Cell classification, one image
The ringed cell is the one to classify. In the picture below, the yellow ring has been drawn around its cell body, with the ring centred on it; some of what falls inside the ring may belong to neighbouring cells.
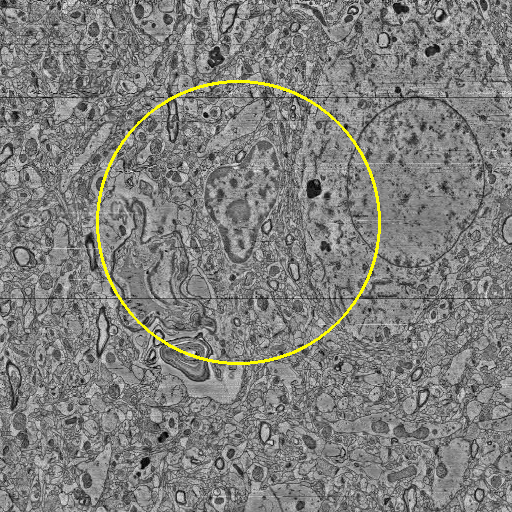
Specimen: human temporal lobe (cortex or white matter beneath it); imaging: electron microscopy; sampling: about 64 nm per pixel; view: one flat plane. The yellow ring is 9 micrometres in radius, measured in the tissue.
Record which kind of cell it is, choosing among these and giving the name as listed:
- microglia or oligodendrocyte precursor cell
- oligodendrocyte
microglia or oligodendrocyte precursor cell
